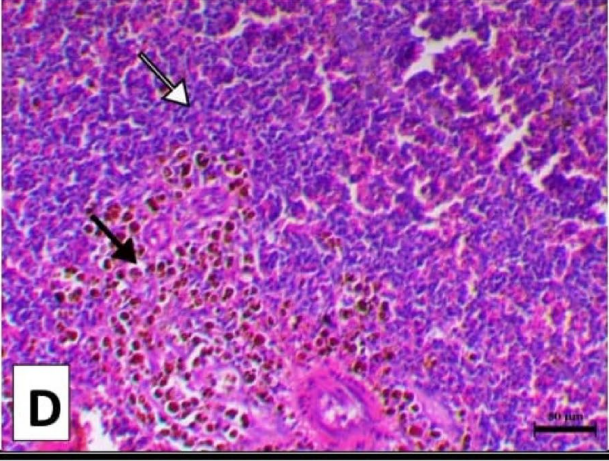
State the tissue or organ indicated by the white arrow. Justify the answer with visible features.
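Crowded small round cells with dark purple nuclei filling the area. That points to this answer: lymphoid tissues.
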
